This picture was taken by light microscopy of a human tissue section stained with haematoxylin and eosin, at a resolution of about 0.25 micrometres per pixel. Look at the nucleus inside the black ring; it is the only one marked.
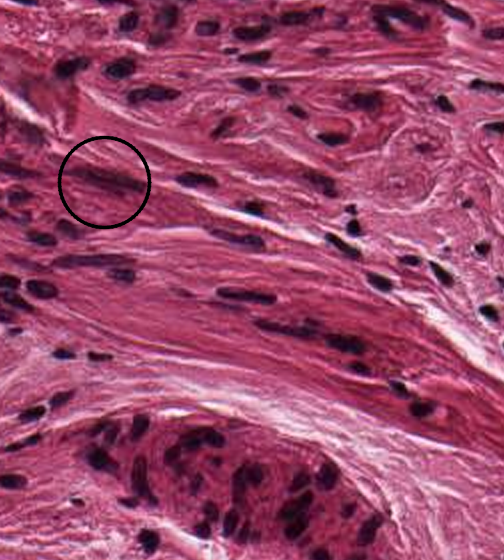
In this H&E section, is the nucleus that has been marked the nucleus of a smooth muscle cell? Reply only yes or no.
yes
